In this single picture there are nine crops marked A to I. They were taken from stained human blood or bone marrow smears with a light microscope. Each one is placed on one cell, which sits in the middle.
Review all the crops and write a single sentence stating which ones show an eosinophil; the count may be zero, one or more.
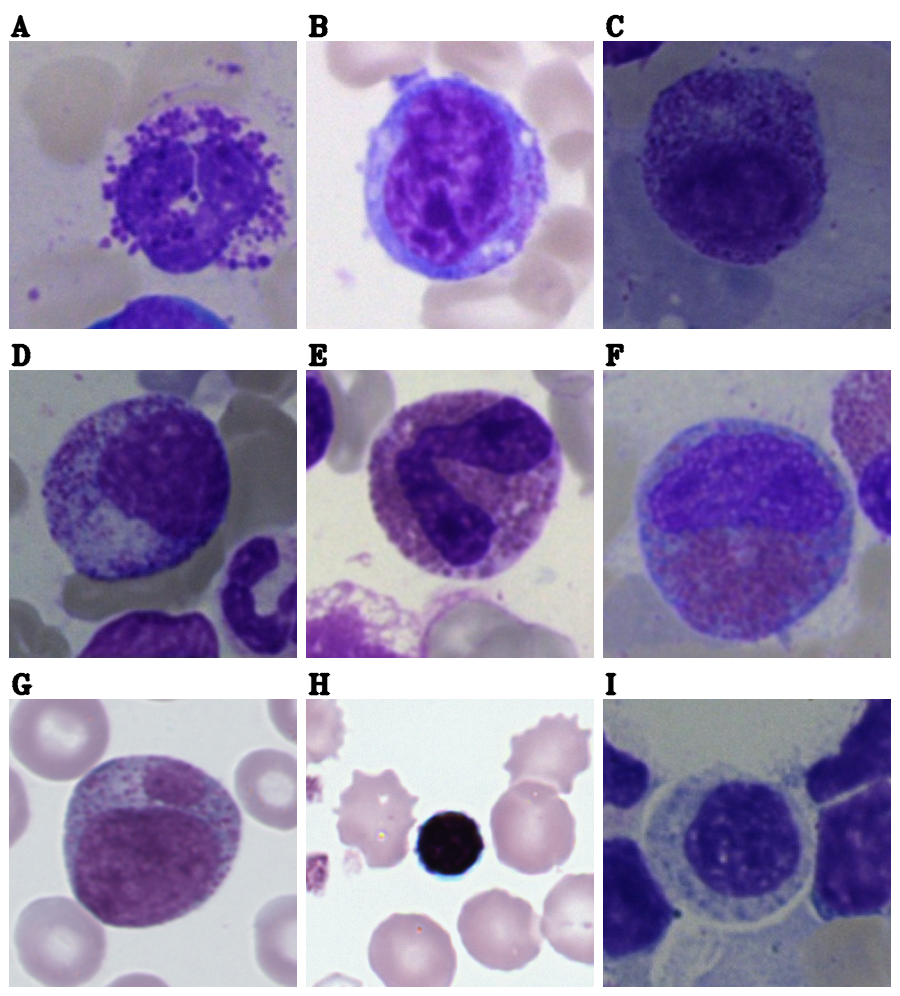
In the centres of crops E and F lie eosinophils.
